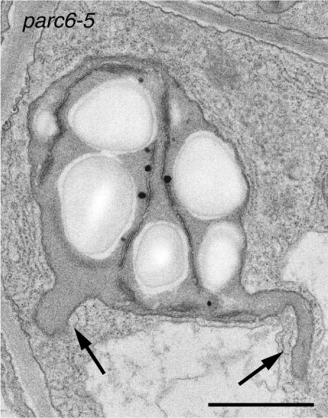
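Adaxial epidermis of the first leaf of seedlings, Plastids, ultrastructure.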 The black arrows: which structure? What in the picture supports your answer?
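Thin tube-like extensions project from the plastid body. The extensions are filled with the same grey stroma as the plastid. On this evidence: stromules.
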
